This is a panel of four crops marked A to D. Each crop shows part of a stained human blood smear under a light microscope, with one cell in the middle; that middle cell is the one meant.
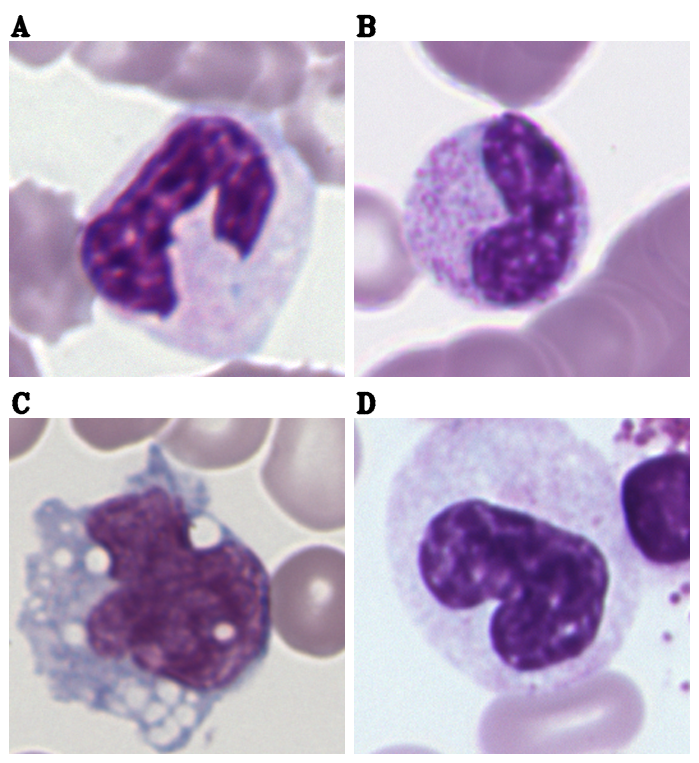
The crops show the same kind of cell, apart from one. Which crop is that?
C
